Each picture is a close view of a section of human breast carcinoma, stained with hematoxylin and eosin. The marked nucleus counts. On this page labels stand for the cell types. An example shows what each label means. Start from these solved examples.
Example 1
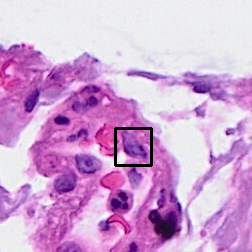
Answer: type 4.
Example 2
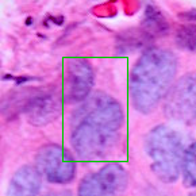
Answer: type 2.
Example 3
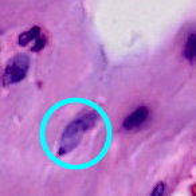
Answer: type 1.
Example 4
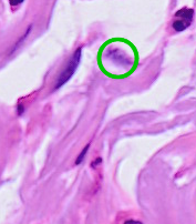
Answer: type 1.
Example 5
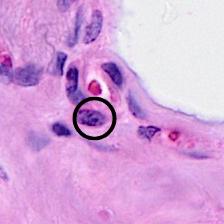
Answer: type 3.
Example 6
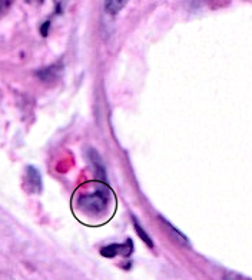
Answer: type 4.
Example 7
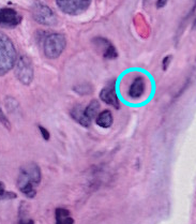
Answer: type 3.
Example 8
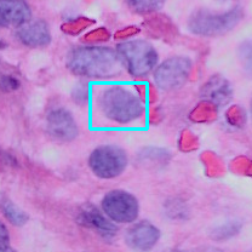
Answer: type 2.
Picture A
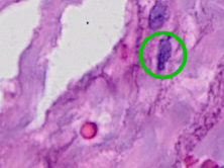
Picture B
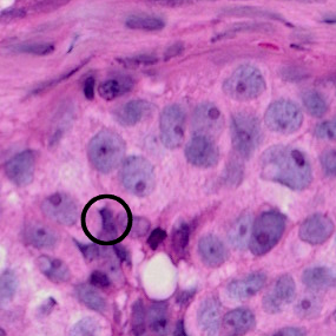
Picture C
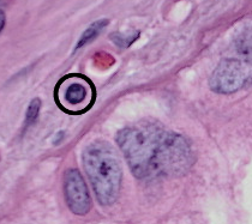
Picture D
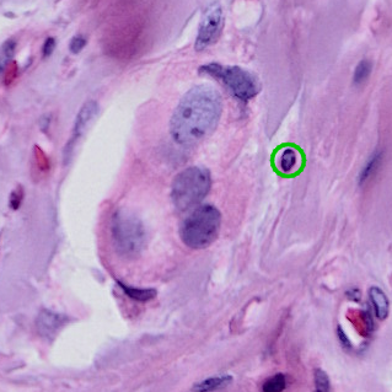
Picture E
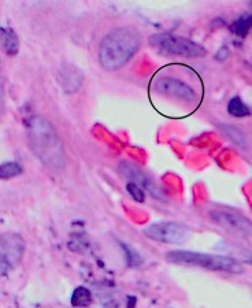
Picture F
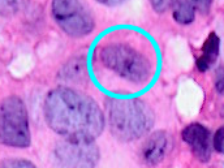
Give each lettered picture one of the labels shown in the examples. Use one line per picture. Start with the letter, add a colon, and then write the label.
A: type 1.
B: type 2.
C: type 3.
D: type 3.
E: type 4.
F: type 2.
